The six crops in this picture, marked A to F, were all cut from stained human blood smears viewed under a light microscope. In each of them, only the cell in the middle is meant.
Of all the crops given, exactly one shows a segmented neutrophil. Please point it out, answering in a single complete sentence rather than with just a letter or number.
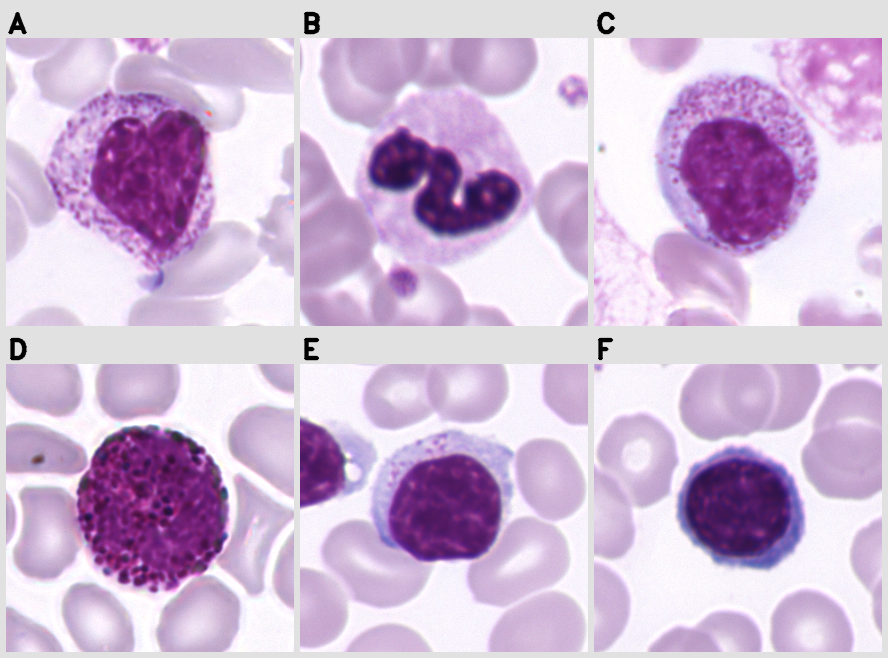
That would be crop B; it shows a segmented neutrophil.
